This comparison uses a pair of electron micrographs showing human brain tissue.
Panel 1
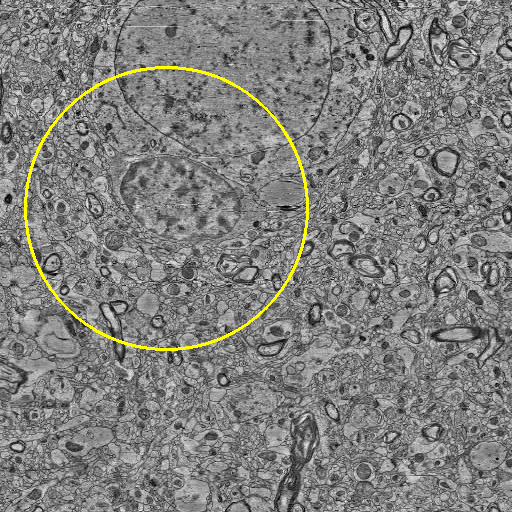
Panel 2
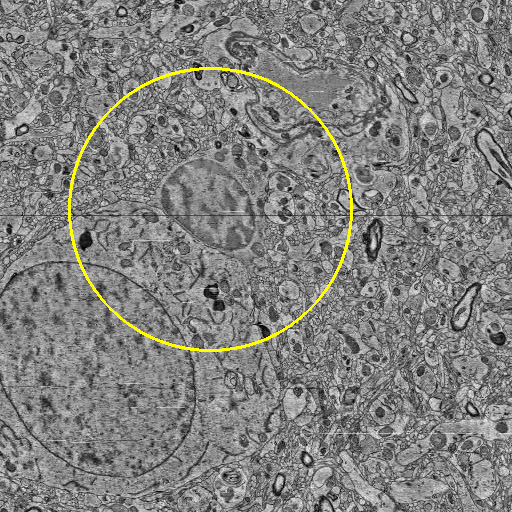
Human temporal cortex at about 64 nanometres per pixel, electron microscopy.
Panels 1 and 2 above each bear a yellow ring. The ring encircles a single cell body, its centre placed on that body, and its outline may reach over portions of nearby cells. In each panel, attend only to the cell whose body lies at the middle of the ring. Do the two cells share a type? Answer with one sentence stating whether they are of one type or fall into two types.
In Panel 1 and Panel 2, the cells at the centres of the rings are of one type.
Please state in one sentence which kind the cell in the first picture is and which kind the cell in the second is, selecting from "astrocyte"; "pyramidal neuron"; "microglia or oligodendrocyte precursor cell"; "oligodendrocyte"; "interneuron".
In the first picture and in the second, the ring is centred on an oligodendrocyte.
